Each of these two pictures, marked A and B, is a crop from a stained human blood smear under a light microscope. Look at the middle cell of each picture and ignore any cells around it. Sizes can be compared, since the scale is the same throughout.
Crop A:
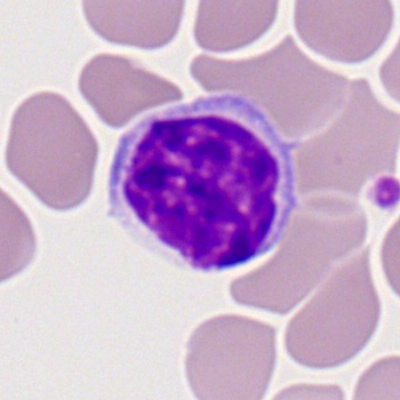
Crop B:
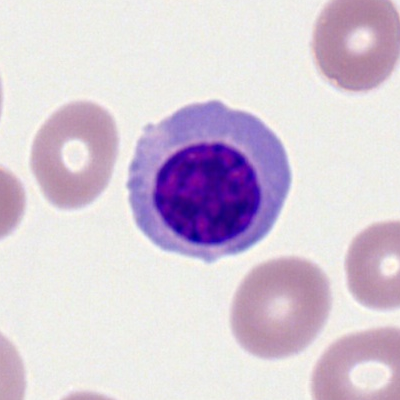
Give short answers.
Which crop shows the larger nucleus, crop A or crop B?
A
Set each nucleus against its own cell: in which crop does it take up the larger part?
A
